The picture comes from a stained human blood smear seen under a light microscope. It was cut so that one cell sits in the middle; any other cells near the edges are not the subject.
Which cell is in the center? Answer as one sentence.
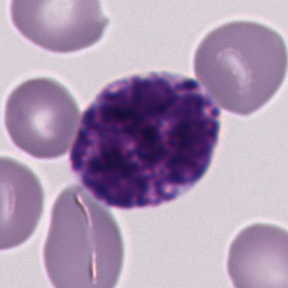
The centered cell in this crop is a basophil.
